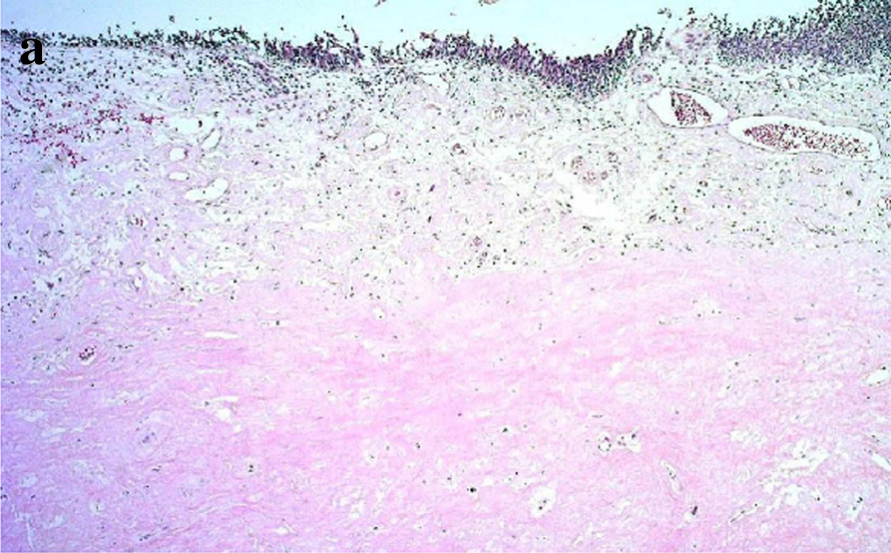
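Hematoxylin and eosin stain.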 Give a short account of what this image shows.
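At low magnification a dense purple layer of cells runs along the top surface, with scattered red blood cells and several small vessels filled with red cells just beneath it. Below this the tissue is taken up by a wide band of pale pink, homogeneous and largely structureless material. Nuclei are sparse and scattered through the pink band, and only a few small vessels are seen within it.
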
